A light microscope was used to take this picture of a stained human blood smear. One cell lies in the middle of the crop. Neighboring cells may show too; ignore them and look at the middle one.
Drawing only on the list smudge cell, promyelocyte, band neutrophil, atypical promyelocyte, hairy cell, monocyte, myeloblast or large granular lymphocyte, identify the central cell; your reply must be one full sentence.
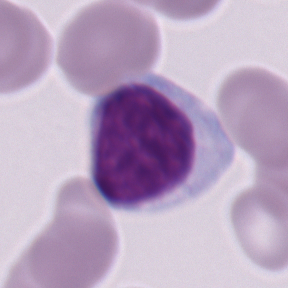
The crop centres on a single cell, and that cell is a large granular lymphocyte.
